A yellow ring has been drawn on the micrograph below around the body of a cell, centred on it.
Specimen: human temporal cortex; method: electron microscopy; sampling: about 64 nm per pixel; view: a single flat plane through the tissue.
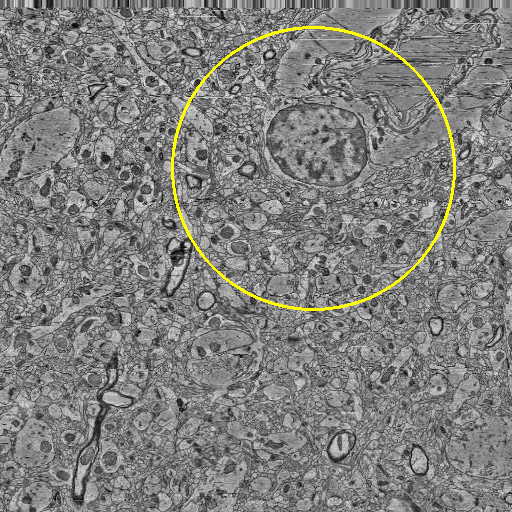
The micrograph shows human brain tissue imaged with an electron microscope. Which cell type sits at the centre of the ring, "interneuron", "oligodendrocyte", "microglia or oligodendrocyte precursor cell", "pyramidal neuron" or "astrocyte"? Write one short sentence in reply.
The cell sitting at the centre of the ring is a microglial cell or oligodendrocyte precursor cell.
